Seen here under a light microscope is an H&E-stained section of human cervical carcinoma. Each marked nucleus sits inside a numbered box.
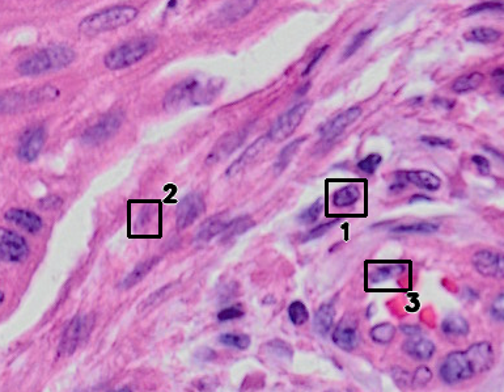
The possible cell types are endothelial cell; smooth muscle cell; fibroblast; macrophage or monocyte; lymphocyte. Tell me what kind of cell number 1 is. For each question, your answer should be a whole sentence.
The expected answer is that cell 1 is a lymphocyte.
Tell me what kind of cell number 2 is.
Corresponding to a fibroblast is the cell labelled 2.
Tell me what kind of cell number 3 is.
Of the numbered cells, the one labelled 3 is an endothelial cell.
